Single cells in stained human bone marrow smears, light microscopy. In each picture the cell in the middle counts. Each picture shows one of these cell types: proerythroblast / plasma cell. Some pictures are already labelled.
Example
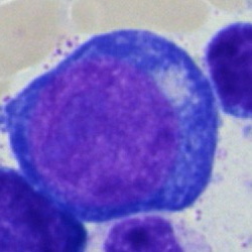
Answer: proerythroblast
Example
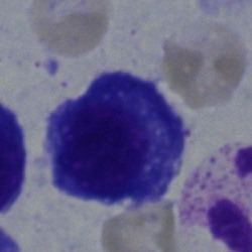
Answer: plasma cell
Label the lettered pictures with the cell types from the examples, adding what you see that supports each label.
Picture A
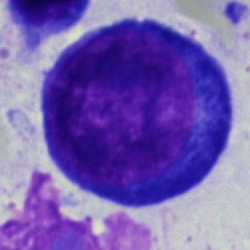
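proerythroblast: The chromatin is finely granular rather than clumped.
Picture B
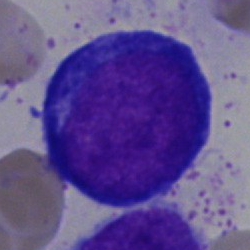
proerythroblast: The cytoplasm is a scant thin rim of deep blue.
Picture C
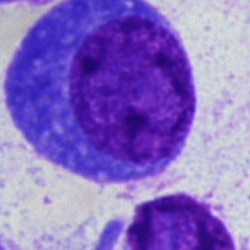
plasma cell: The cytoplasm forms a wide rim that is broadest on the left.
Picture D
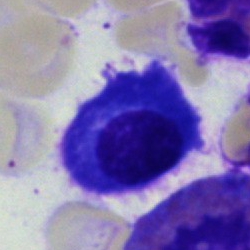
plasma cell: The cytoplasm is plentiful and stains a deep, intense blue.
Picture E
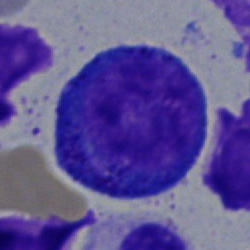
proerythroblast: The chromatin is finely textured and mottled rather than coarsely clumped.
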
